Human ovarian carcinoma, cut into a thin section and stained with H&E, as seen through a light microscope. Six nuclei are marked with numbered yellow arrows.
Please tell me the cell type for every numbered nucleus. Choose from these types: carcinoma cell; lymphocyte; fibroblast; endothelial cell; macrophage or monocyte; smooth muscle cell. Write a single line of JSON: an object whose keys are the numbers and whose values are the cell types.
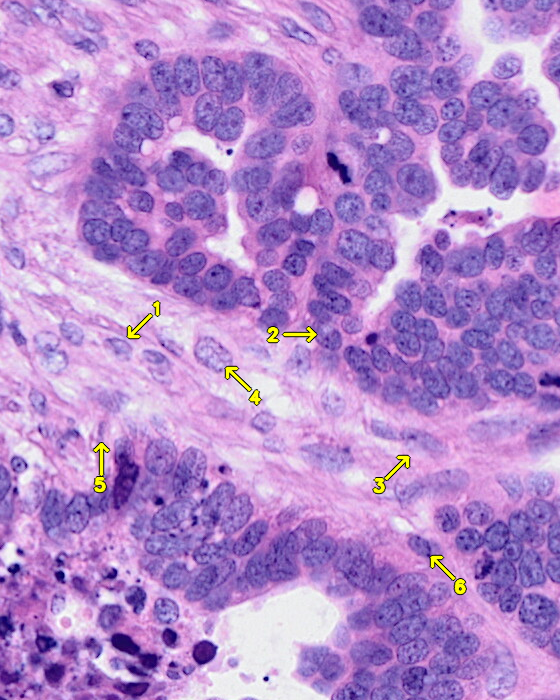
{"1": "fibroblast", "2": "carcinoma cell", "3": "fibroblast", "4": "fibroblast", "5": "fibroblast", "6": "macrophage or monocyte"}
